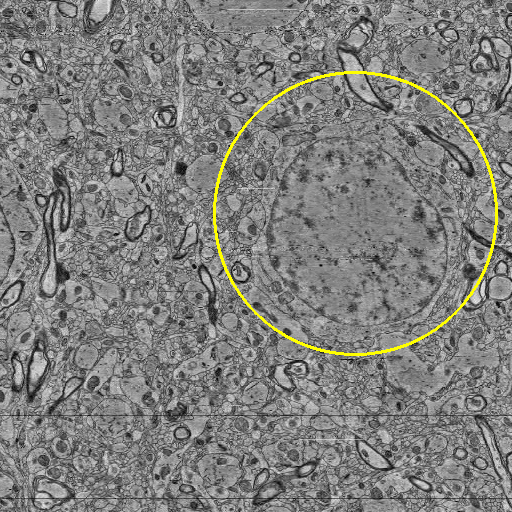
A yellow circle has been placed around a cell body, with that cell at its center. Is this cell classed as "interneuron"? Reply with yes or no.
Yes, it belongs to that class.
